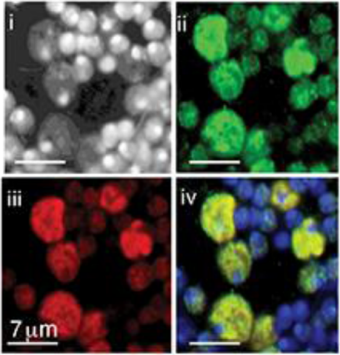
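A crowded field of small, round cell bodies packed side by side. In the greyscale image many rounded nuclei stand out brightly, some with brighter spots inside. In green and red a subset of the cell bodies is filled with patchy, clumped staining, and these same bodies appear yellow in the overlay, while the rest show only blue nuclei between them.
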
